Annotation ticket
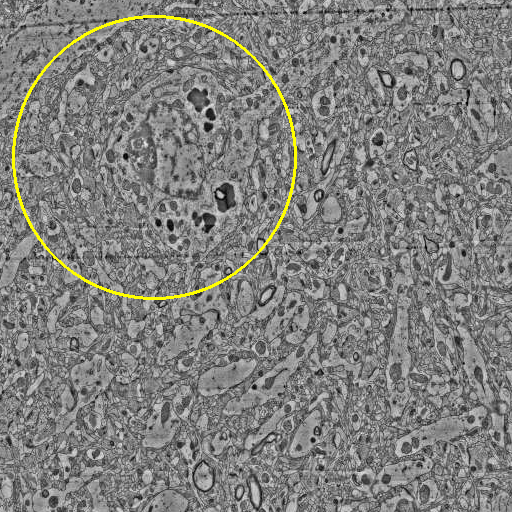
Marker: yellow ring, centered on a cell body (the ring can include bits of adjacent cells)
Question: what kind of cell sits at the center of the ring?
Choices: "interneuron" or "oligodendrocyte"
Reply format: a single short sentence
The ring is centered on an interneuron.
